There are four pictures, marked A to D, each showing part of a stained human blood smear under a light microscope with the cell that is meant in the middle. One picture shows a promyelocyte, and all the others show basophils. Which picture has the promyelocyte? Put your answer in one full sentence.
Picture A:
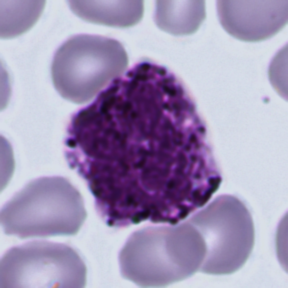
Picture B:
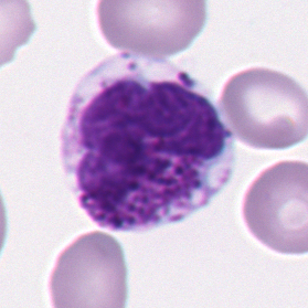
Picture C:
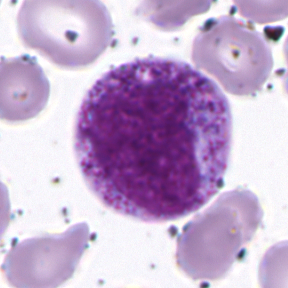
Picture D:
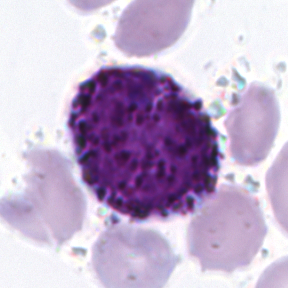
Picture C shows the promyelocyte.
